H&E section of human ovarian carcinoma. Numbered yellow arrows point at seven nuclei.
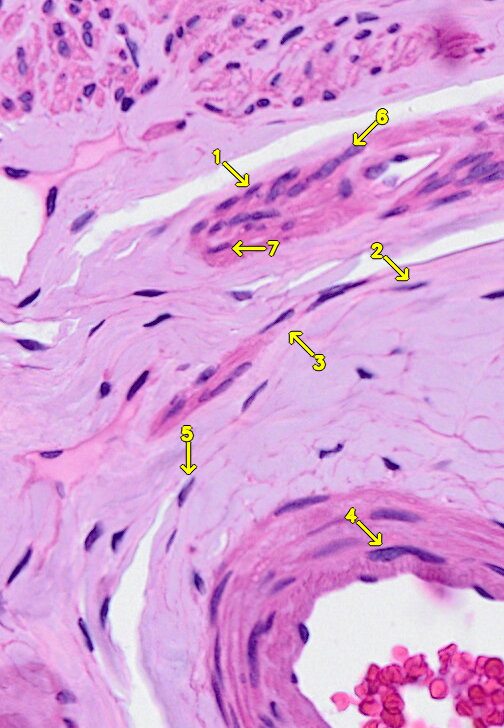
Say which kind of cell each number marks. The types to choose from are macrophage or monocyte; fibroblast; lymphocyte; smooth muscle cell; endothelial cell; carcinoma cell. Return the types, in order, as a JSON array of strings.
["smooth muscle cell", "fibroblast", "fibroblast", "smooth muscle cell", "fibroblast", "smooth muscle cell", "smooth muscle cell"]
